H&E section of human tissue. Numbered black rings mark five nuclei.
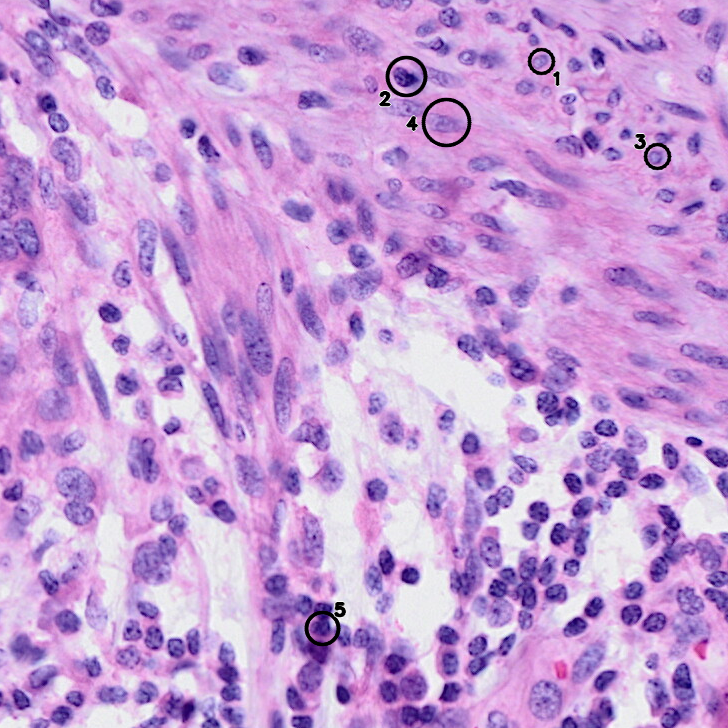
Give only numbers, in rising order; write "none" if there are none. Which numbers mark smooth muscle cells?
1, 3, 4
